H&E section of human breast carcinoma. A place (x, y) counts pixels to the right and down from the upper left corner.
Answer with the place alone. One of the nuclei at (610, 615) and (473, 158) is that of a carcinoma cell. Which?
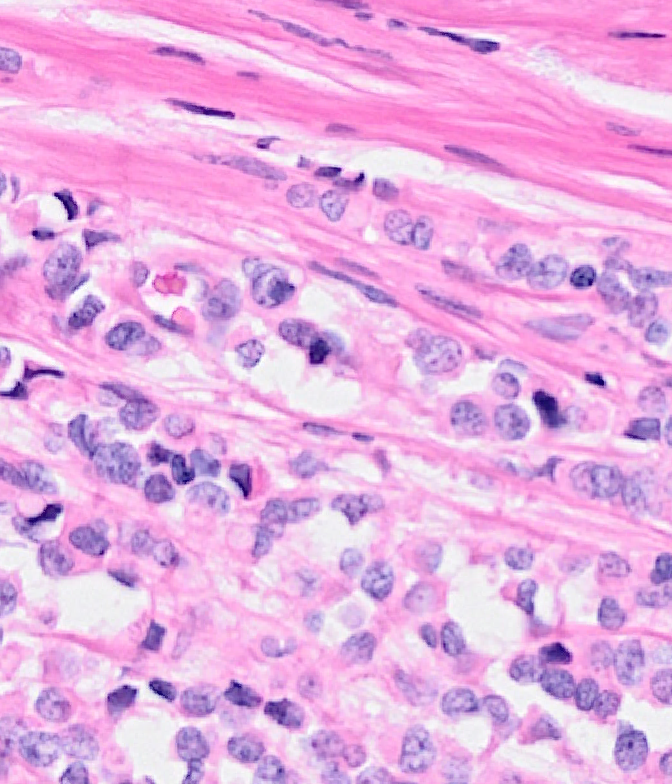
(610, 615)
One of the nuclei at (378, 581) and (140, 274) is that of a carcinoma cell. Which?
(378, 581)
